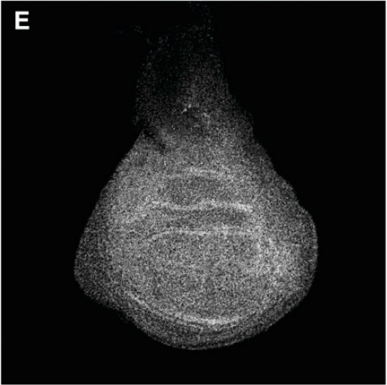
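This is a larval imaginal disc seen whole, a flat folded epithelial sac shown in white on black. A broad rounded lobe fills the lower part and narrows upward into a smaller, more irregular region. The white signal is fine and granular, spread across the whole tissue rather than picked out in a few cells, so individual cell outlines are not clearly separated. Several brighter curved bands cross the rounded lobe; these follow the folds of the epithelium, where more tissue lies stacked in the light path. The signal is weaker toward the upper region.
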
